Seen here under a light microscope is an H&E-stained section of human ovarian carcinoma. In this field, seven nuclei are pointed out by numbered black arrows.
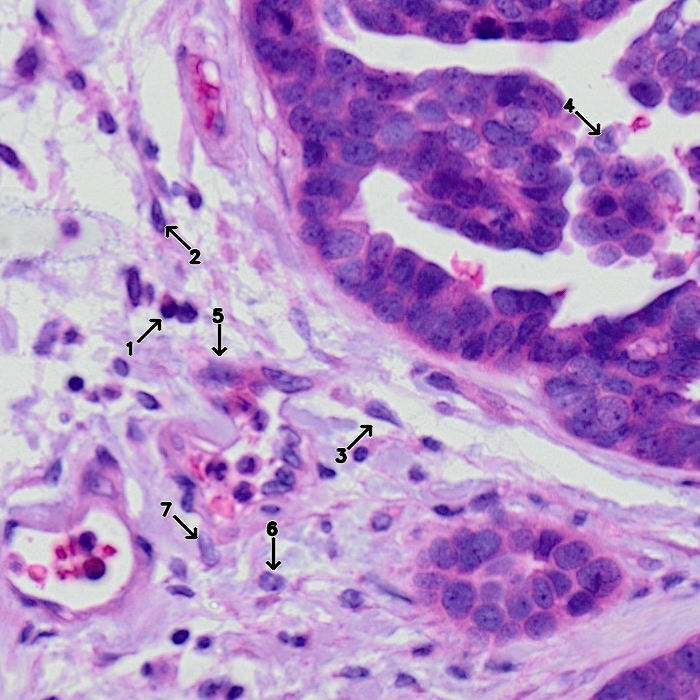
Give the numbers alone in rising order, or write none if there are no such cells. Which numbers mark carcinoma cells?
none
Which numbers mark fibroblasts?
2, 3, 6, 7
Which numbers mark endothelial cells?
5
